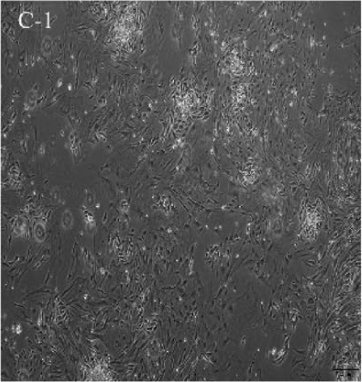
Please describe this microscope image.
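The field is densely covered with cells. Most are elongated and spindle-shaped, with slender tapering ends, and lie flat on the dish, crossing and aligning with one another into a loose meshwork. Scattered among them are small, rounded cells that appear bright and refractile, as cells that are raised off the surface do. In several places, rounded cells are heaped into pale, crowded clusters that stand out from the flat layer around them.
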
